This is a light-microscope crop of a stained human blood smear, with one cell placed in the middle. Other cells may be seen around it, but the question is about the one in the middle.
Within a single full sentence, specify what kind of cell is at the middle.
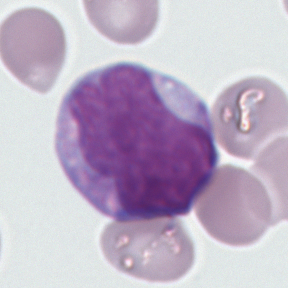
In the central position of this crop, the cell is an atypical promyelocyte.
